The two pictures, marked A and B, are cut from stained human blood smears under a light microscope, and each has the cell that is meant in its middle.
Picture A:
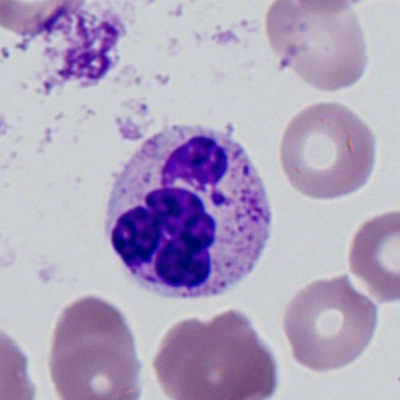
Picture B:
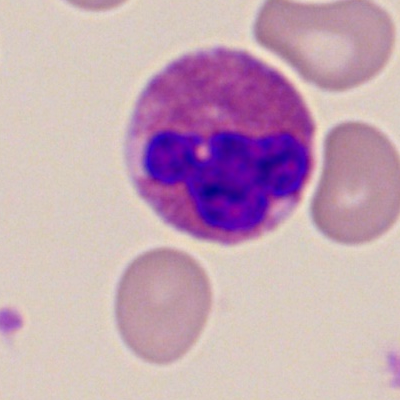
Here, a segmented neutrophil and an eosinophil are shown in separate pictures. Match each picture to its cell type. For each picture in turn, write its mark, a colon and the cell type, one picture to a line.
A: segmented neutrophil
B: eosinophil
